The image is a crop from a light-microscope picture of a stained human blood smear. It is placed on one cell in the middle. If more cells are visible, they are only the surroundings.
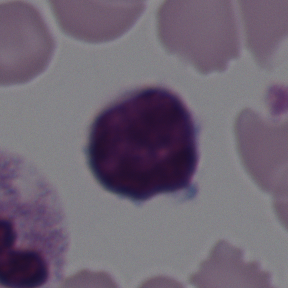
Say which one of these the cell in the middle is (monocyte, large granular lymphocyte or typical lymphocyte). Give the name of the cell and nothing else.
typical lymphocyte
